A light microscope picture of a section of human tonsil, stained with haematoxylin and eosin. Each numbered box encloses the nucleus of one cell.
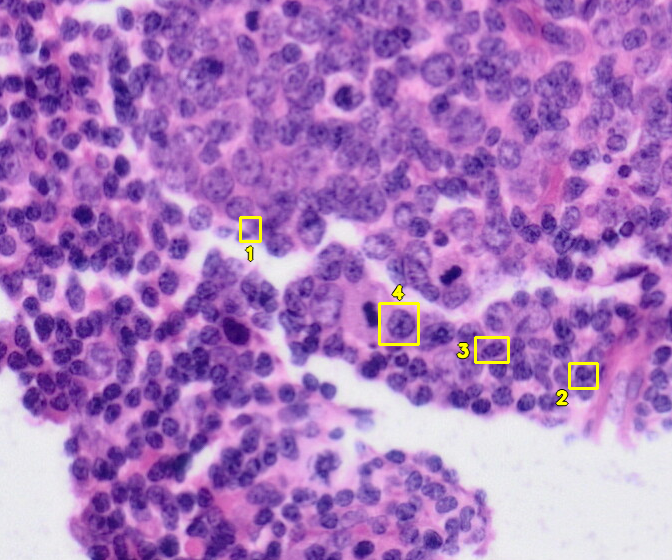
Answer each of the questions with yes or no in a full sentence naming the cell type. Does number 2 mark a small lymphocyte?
Yes, the cell shown as number 2 is a small lymphocyte.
